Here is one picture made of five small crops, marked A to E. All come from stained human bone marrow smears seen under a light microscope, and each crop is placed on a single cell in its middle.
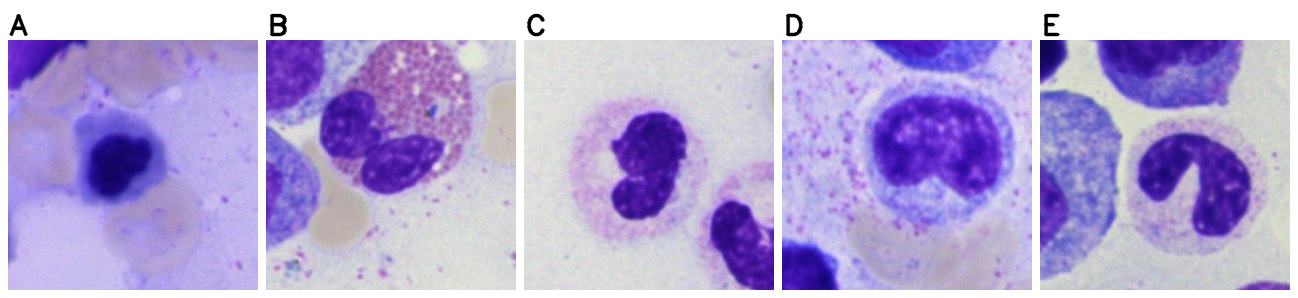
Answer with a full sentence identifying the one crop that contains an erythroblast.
Among the crops, only crop A contains an erythroblast.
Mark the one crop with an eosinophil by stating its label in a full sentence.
Crop B is the one in this set that shows an eosinophil.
